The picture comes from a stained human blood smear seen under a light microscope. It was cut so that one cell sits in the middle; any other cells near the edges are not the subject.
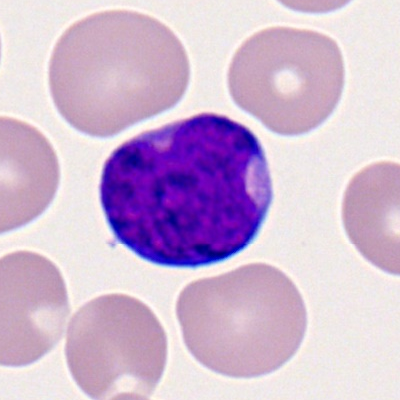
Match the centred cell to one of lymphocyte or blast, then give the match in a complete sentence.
The centrally located cell in the crop is a blast.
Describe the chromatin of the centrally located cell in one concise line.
The chromatin pattern here is coarse and clumped.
